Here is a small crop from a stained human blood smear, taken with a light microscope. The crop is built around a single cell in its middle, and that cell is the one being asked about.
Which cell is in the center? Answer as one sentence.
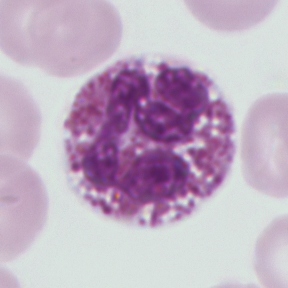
As for the central cell, it is an eosinophil.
